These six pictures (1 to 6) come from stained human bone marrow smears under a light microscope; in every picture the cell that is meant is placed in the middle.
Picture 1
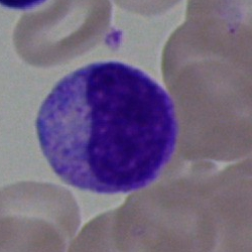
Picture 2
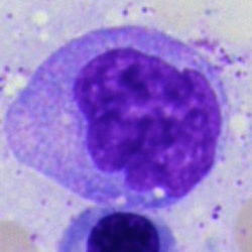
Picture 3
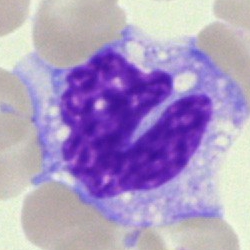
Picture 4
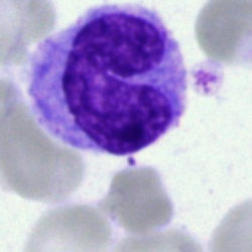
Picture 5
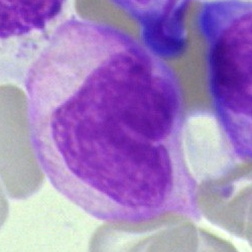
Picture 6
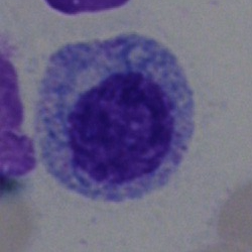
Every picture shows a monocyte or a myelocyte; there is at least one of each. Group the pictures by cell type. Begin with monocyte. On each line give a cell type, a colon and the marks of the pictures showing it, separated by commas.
monocyte: 2, 3, 4, 5
myelocyte: 1, 6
